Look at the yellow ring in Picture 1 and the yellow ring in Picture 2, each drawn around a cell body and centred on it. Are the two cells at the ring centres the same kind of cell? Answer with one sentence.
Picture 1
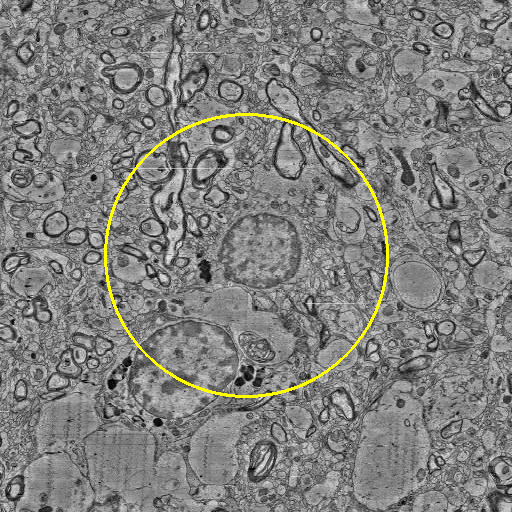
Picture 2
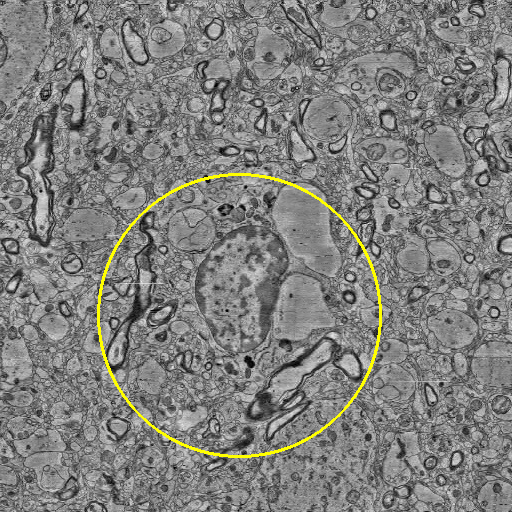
No, they are cells of two kinds.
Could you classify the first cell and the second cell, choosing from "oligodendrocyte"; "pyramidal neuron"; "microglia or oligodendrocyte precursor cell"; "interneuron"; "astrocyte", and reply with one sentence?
The second cell is a microglial cell or oligodendrocyte precursor cell, while the first is an oligodendrocyte.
